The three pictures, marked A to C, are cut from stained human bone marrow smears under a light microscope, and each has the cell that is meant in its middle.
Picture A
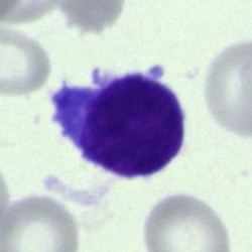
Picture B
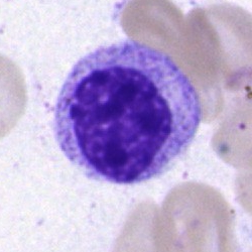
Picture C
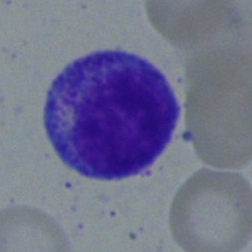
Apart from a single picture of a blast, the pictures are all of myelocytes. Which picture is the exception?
A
